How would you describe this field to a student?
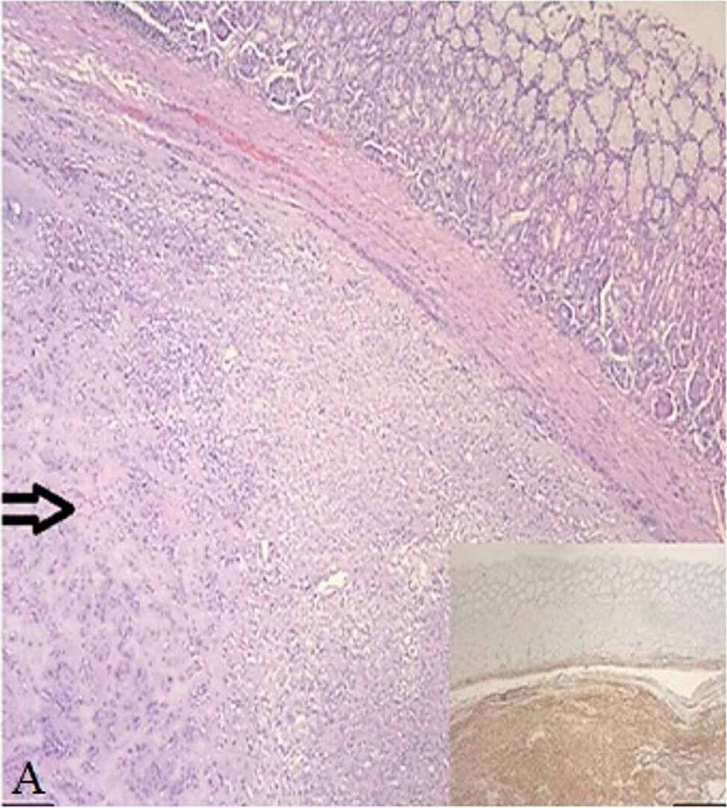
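Here the gastric wall is seen at low power: glandular gastric mucosa runs along the upper right, and beneath a pink fibrous band the deeper wall is taken up by a broad, cellular tumor. The tumor is made of sheets of cells whose density varies from place to place. In the inset the tumor below stains diffusely brown while the overlying mucosa stays pale.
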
